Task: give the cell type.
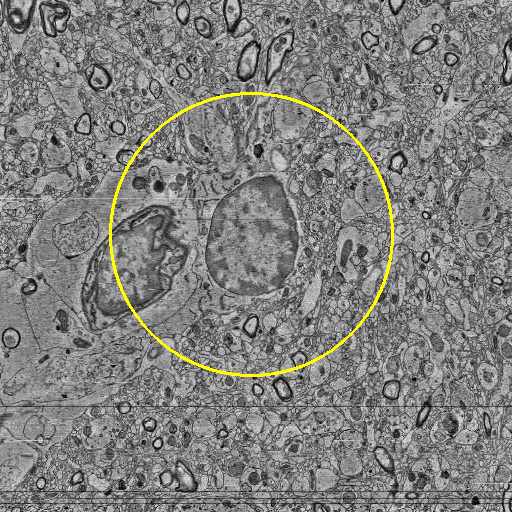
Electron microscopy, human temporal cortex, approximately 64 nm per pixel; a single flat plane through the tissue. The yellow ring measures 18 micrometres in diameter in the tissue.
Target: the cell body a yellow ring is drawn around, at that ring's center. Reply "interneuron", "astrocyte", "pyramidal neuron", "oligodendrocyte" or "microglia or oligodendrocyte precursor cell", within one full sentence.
In this picture, the cell whose body lies at the ring's center is a microglial cell or oligodendrocyte precursor cell.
